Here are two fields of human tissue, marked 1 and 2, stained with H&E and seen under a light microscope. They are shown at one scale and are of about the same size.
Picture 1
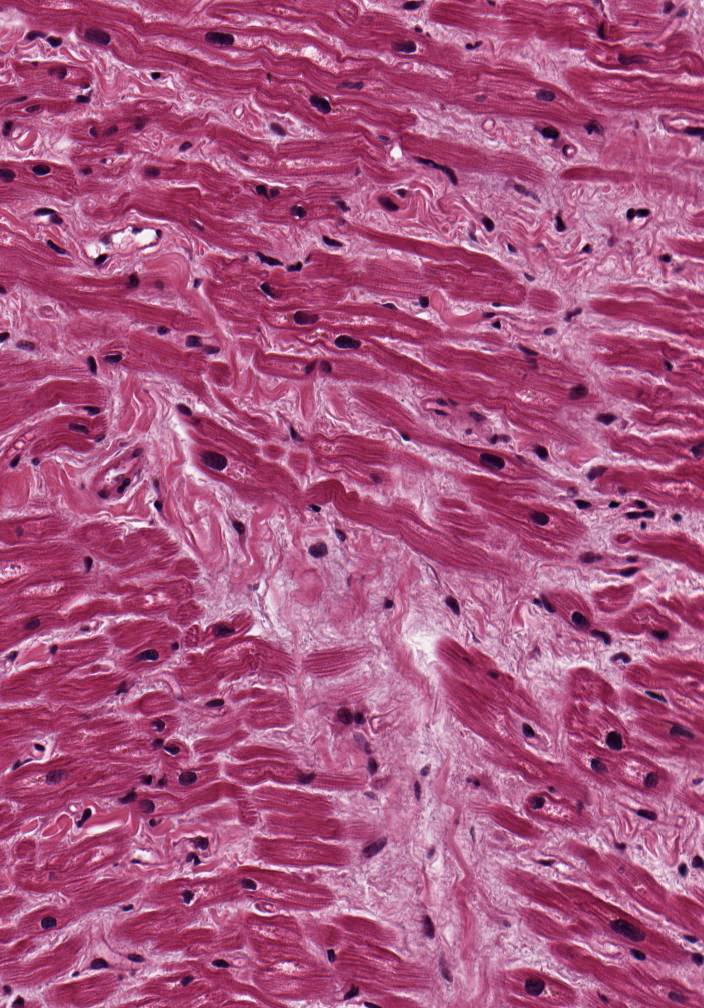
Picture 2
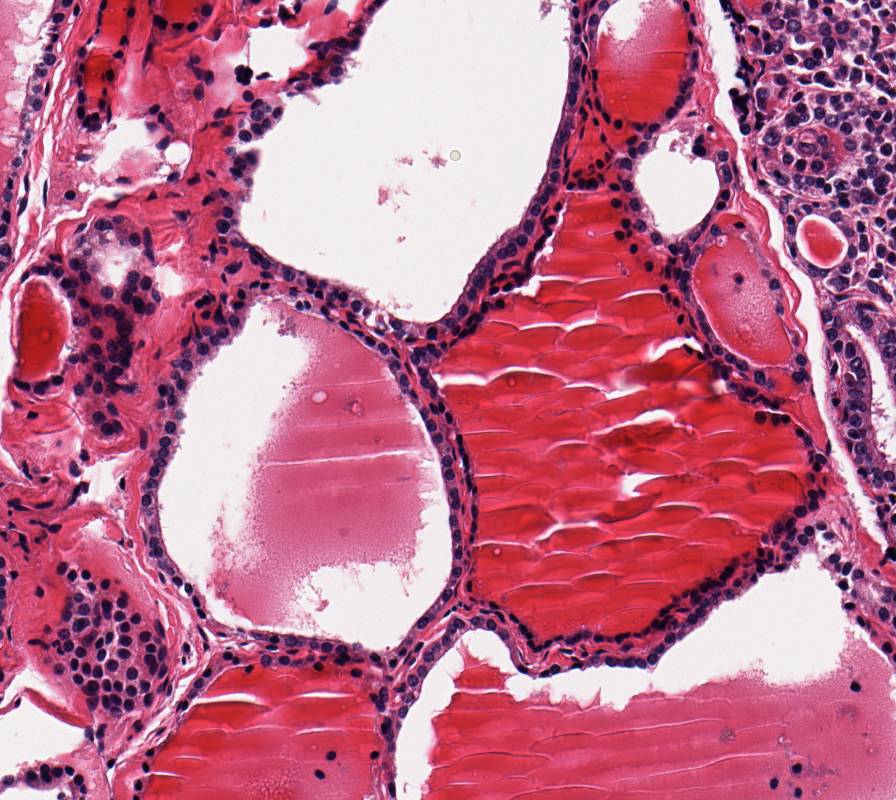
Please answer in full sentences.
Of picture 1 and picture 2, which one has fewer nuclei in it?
Fewer nuclei lie in picture 1 than in picture 2.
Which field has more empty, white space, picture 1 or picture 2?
Picture 2 has more white space.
